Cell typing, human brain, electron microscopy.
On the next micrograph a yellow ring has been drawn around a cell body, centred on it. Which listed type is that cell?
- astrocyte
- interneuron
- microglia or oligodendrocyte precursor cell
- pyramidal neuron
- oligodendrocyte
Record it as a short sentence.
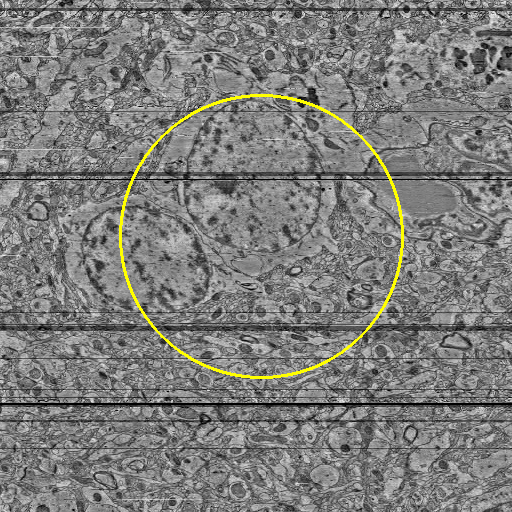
The cell body in the ring's centre belongs to an astrocyte.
